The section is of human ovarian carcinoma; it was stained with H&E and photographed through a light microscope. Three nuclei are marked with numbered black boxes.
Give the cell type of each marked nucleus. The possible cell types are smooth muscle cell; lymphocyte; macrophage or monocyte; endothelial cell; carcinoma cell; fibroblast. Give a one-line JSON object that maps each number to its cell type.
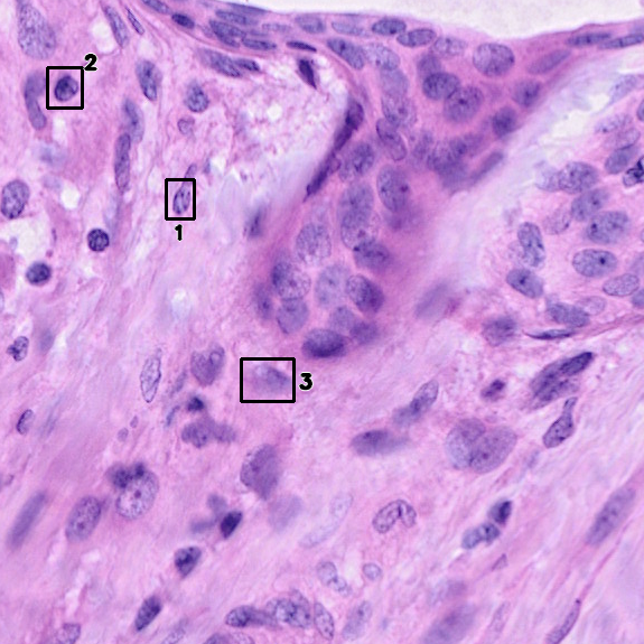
{"1": "macrophage or monocyte", "2": "lymphocyte", "3": "fibroblast"}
